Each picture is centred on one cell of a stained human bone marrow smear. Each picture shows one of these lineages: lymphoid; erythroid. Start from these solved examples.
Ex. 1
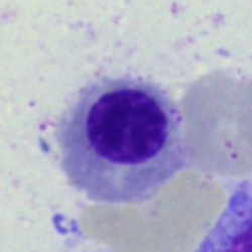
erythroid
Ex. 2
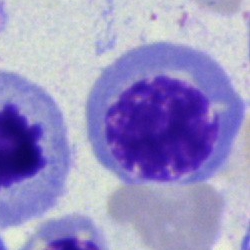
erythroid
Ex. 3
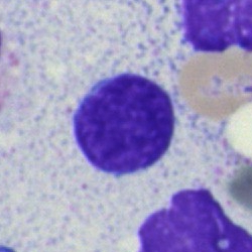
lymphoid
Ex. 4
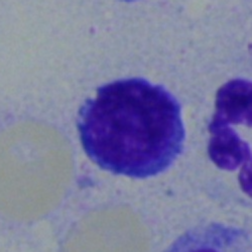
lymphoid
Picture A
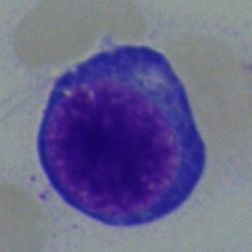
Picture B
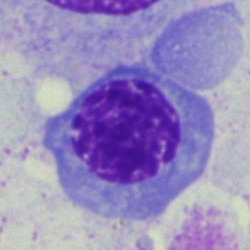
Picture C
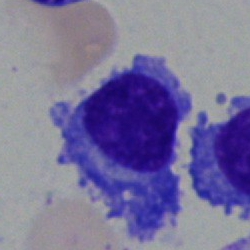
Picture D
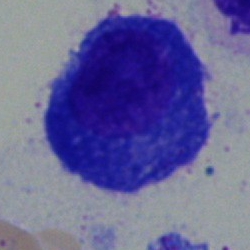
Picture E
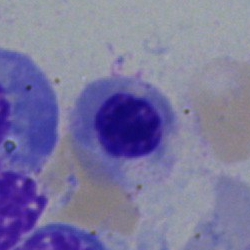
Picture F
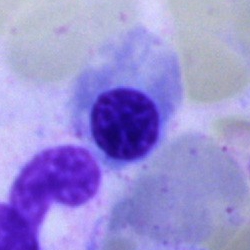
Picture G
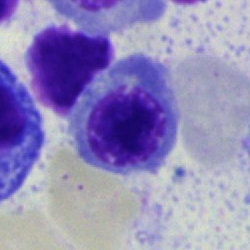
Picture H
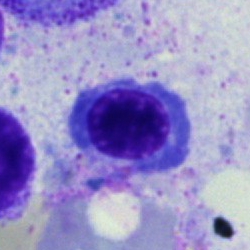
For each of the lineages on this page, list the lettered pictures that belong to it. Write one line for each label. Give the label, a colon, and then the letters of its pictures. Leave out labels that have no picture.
lymphoid: C, D
erythroid: A, B, E, F, G, H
